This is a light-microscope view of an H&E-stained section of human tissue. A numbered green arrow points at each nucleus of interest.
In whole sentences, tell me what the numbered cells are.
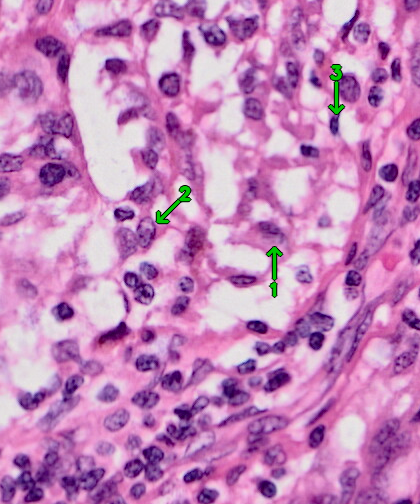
Cell 1 is a melanoma cell, cell 2 is a melanoma cell and cell 3 is a lymphocyte.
